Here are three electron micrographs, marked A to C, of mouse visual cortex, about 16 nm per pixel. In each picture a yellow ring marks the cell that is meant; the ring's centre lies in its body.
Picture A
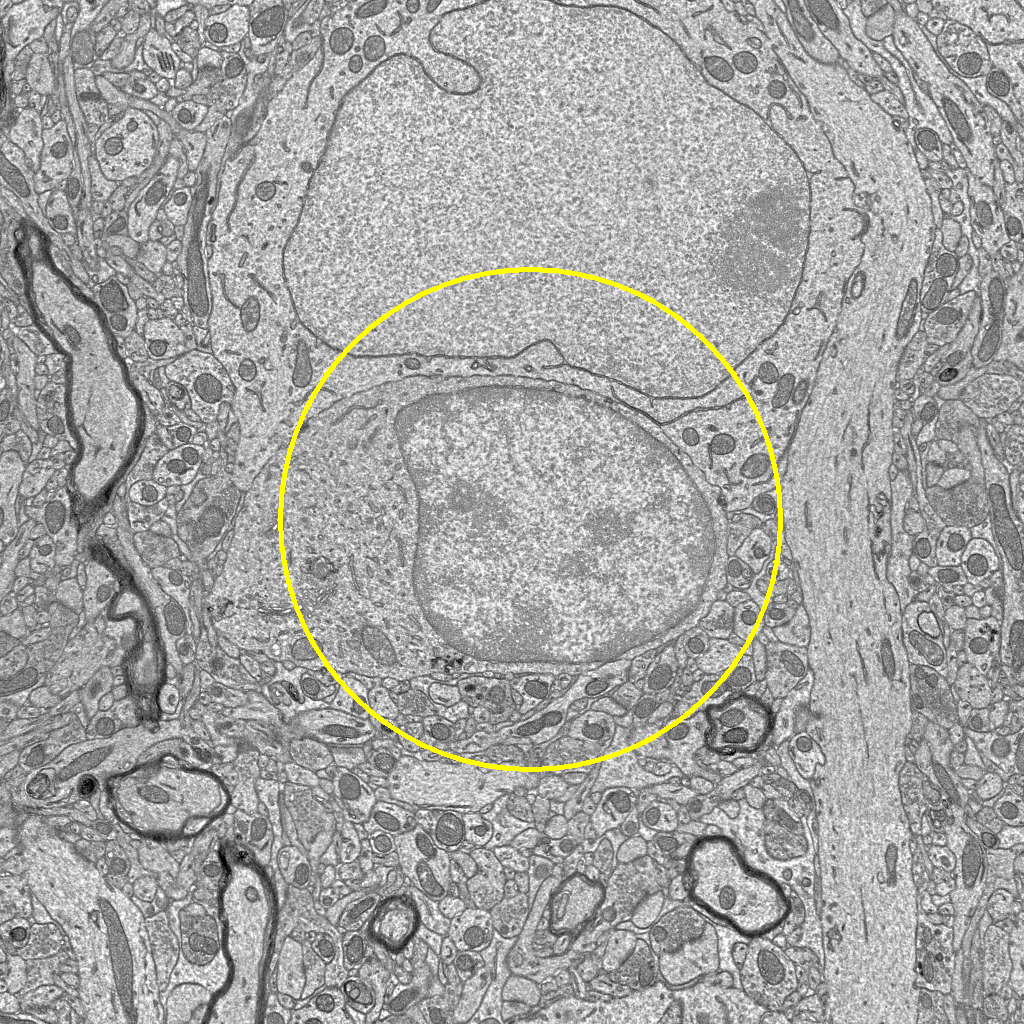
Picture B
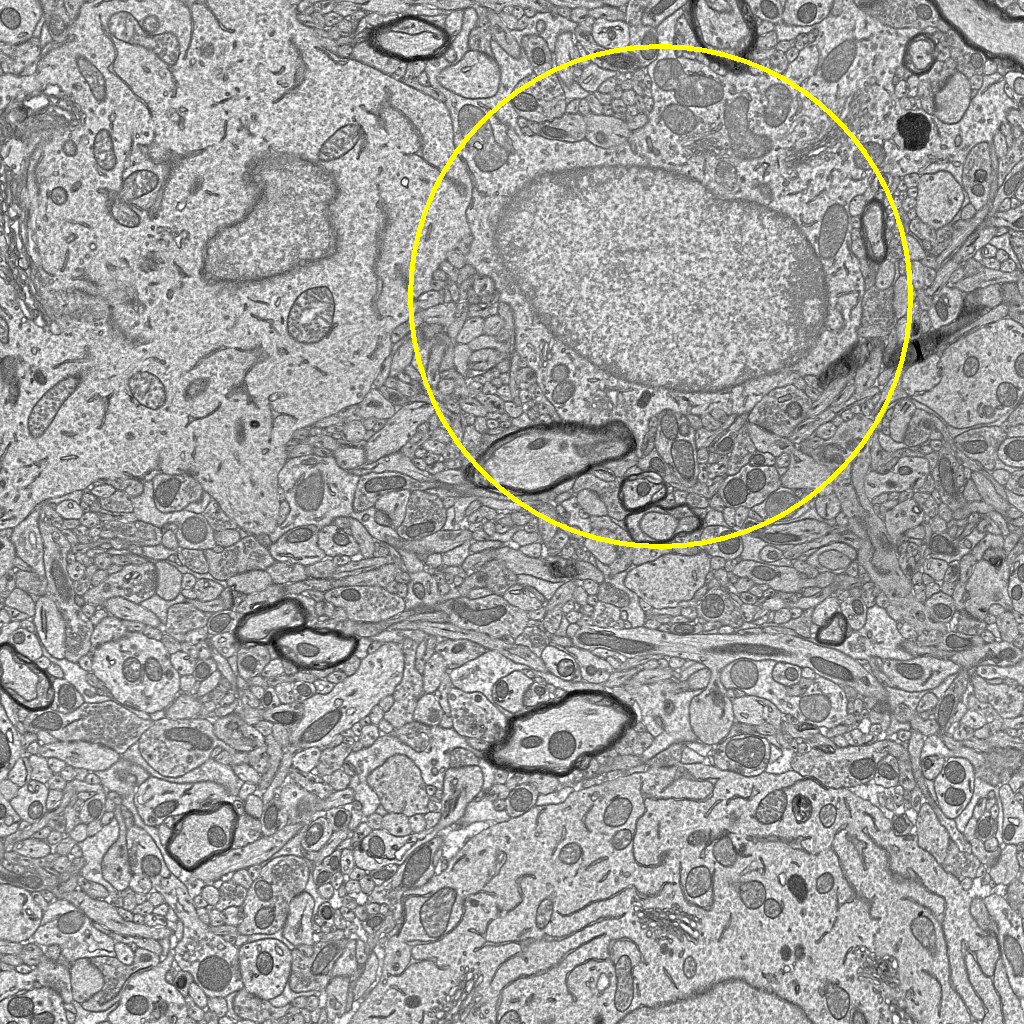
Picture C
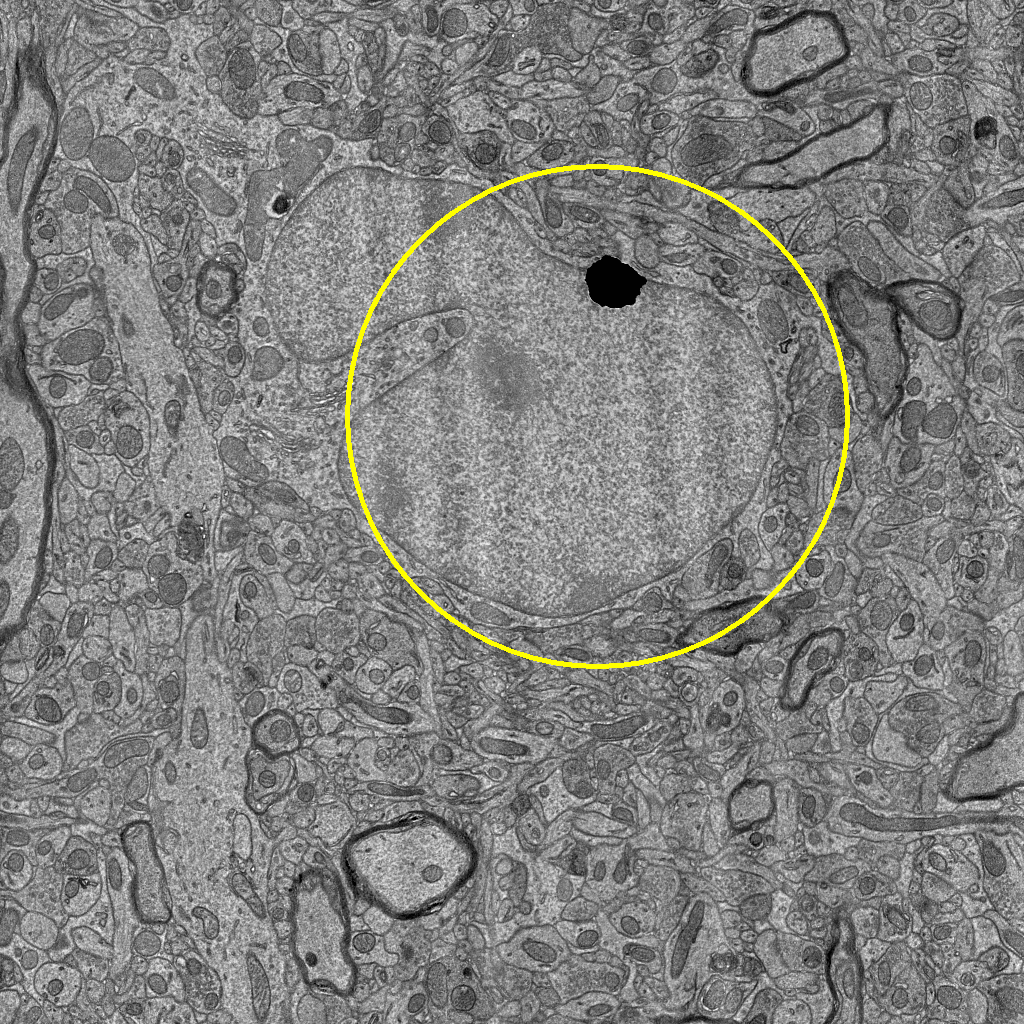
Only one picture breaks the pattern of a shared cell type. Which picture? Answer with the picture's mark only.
A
